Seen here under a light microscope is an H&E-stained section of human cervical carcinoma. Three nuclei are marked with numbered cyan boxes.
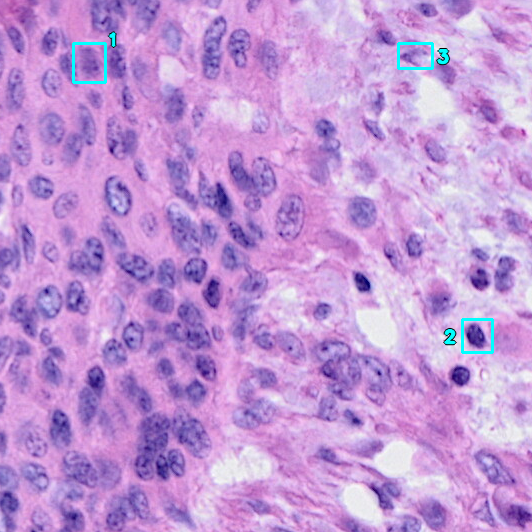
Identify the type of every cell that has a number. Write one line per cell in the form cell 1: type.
cell 1: squamous carcinoma cell
cell 2: lymphocyte
cell 3: fibroblast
